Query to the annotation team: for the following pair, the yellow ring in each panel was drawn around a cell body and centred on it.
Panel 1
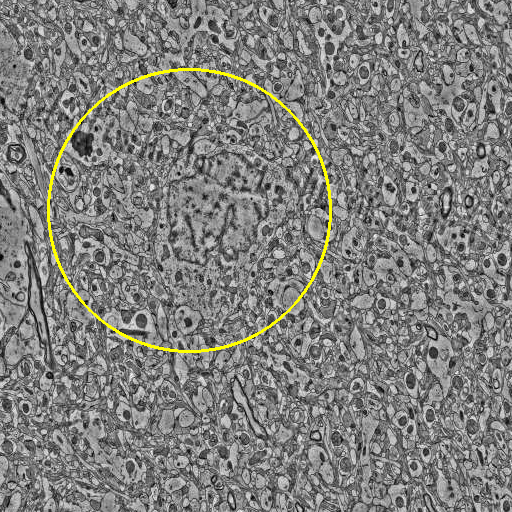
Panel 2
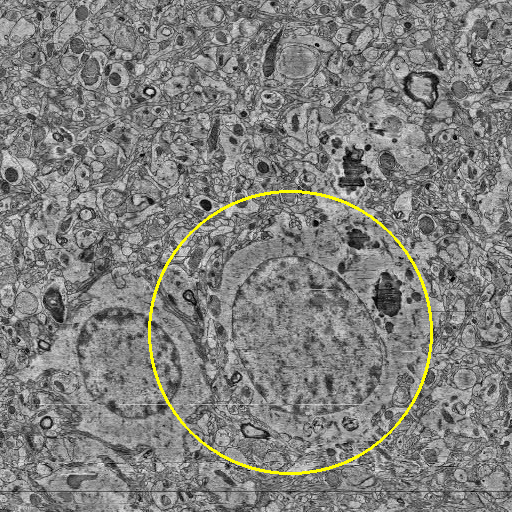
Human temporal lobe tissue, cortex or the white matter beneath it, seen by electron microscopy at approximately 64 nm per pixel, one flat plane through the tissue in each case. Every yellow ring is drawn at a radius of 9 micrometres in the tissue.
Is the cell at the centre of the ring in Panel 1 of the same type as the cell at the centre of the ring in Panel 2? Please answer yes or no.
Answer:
no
